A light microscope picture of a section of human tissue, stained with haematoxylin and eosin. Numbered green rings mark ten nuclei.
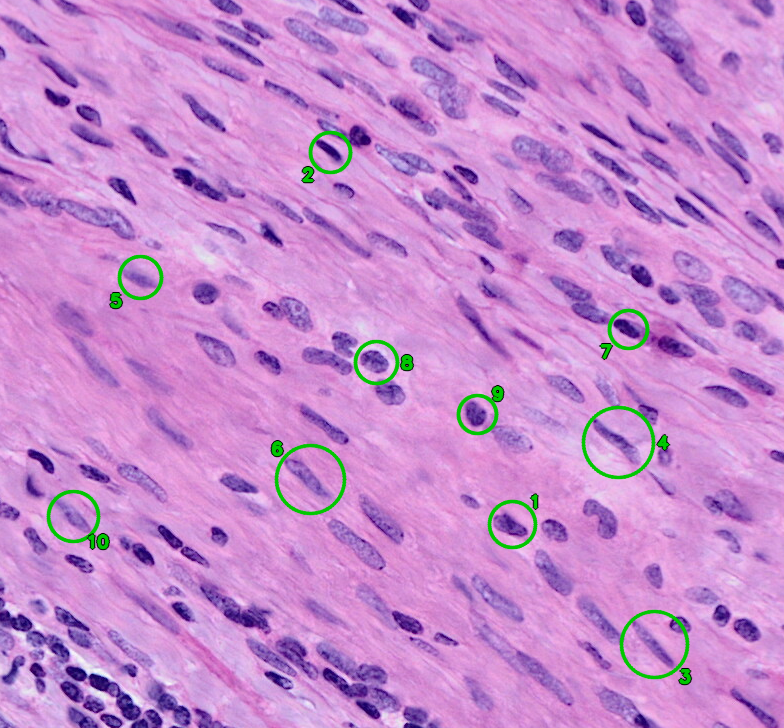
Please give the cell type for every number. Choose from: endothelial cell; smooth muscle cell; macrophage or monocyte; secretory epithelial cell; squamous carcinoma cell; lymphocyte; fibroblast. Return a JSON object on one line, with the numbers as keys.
{"1": "lymphocyte", "2": "lymphocyte", "3": "fibroblast", "4": "fibroblast", "5": "fibroblast", "6": "fibroblast", "7": "lymphocyte", "8": "lymphocyte", "9": "lymphocyte", "10": "fibroblast"}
